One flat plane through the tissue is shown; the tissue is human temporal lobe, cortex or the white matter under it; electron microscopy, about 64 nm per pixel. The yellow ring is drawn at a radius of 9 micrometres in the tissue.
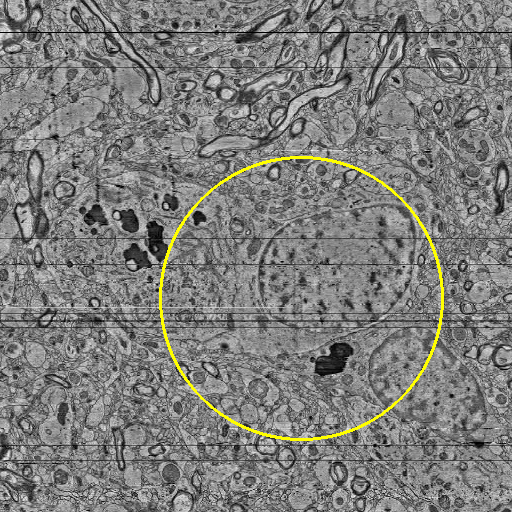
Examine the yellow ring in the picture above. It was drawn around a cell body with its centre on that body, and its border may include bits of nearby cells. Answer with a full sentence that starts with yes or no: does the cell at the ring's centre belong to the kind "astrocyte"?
No, the cell at the heart of the ring shown in the image is a different kind of cell.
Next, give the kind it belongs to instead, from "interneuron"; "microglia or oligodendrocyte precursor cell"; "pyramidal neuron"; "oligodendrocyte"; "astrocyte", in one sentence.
The cell shown in the ring is a microglial cell or oligodendrocyte precursor cell.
